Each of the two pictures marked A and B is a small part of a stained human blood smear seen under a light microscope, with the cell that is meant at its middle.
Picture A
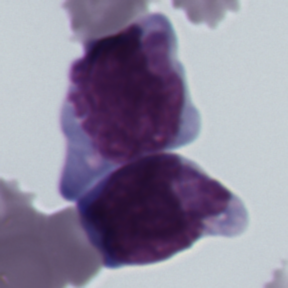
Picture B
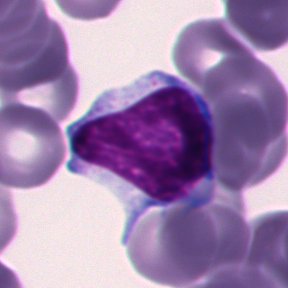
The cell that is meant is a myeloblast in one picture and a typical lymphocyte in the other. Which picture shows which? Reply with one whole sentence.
Picture B shows a typical lymphocyte, while picture A shows a myeloblast.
